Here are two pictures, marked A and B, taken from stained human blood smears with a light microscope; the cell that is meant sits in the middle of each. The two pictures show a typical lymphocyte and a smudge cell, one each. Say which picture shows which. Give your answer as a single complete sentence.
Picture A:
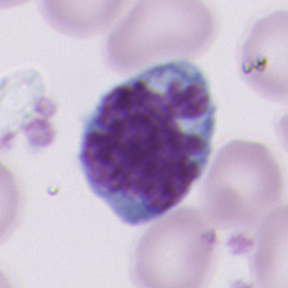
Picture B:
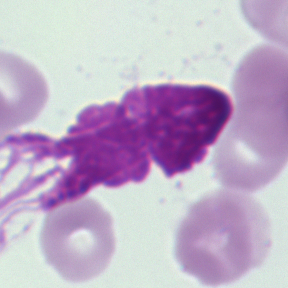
Picture B shows a smudge cell, while picture A shows a typical lymphocyte.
